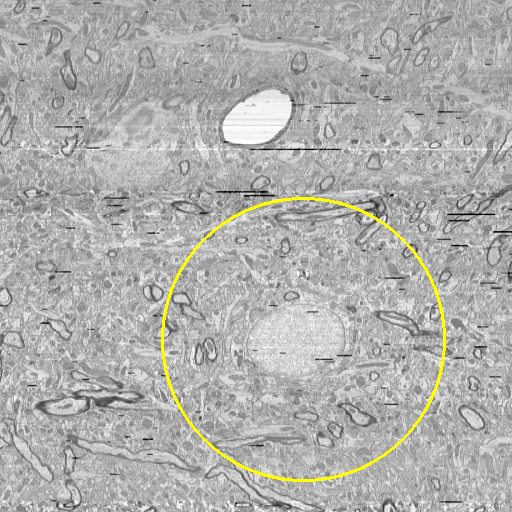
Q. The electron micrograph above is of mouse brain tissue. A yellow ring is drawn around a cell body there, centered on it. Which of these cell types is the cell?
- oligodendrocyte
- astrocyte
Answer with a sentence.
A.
The cell under the ring's center is an astrocyte.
